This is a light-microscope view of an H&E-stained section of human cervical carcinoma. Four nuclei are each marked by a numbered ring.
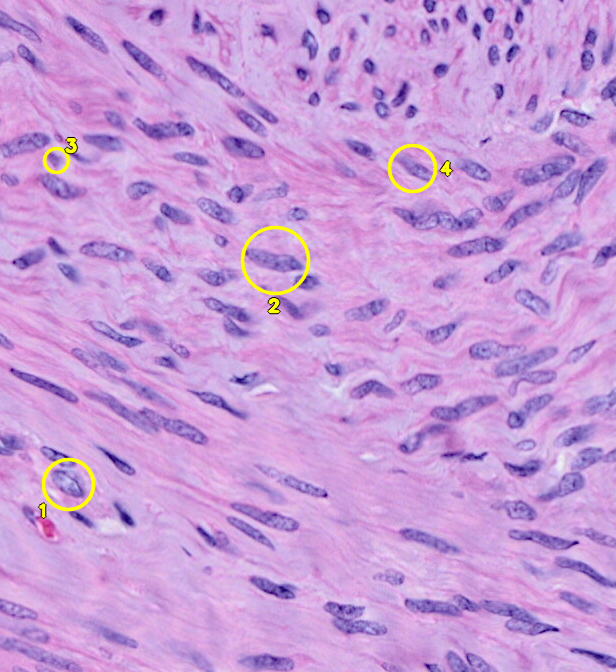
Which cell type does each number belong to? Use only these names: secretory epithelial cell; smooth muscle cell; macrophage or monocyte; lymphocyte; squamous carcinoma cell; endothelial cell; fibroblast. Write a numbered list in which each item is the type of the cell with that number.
1. endothelial cell
2. smooth muscle cell
3. smooth muscle cell
4. smooth muscle cell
